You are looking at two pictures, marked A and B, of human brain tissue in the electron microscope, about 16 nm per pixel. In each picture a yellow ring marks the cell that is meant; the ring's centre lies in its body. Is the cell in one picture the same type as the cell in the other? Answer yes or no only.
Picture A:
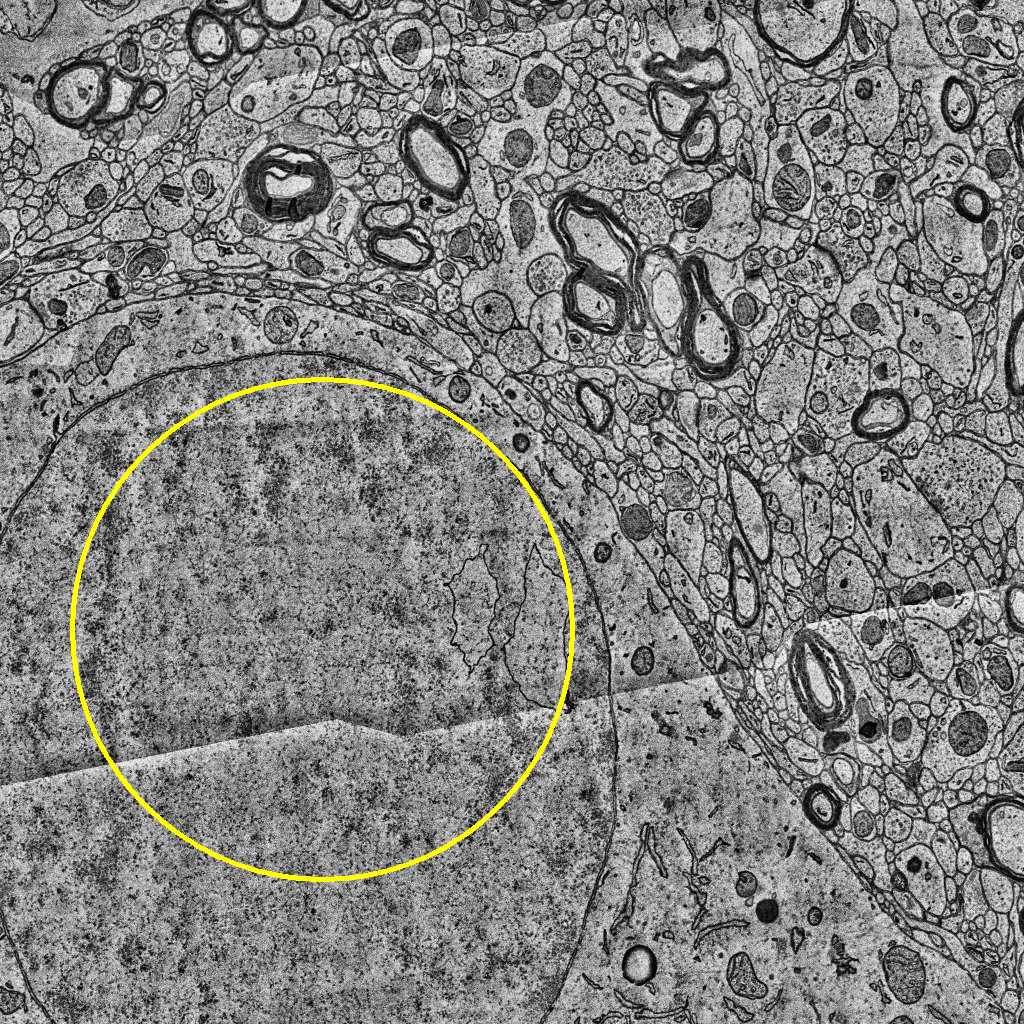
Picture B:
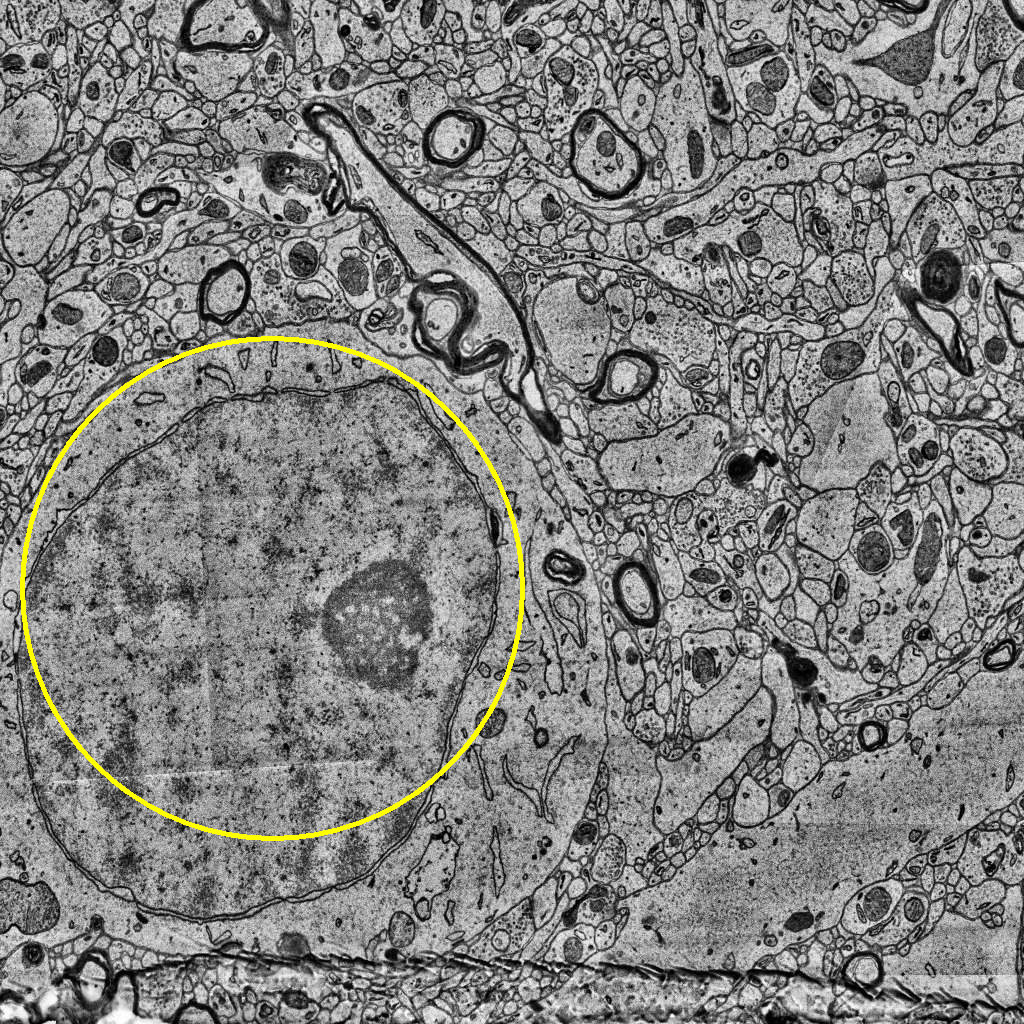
no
